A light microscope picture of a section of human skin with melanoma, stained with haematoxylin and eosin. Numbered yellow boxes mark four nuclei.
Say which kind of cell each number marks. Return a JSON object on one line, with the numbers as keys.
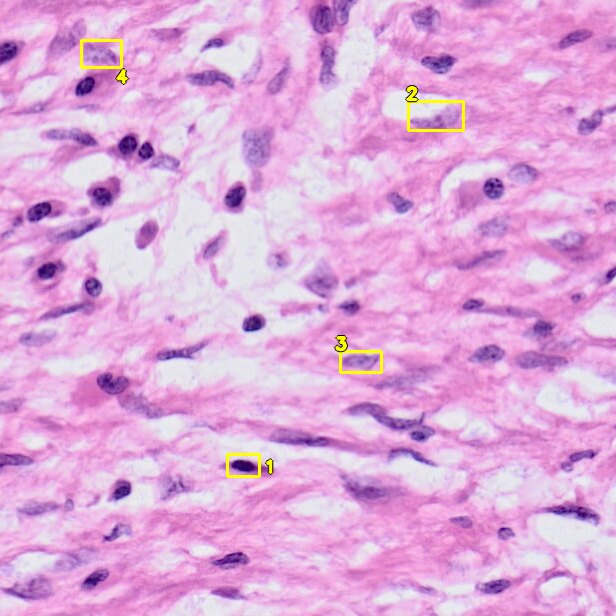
{"1": "plasma cell", "2": "fibroblast or myofibroblast", "3": "fibroblast or myofibroblast", "4": "fibroblast or myofibroblast"}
